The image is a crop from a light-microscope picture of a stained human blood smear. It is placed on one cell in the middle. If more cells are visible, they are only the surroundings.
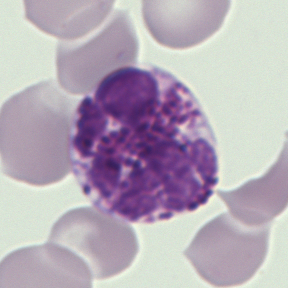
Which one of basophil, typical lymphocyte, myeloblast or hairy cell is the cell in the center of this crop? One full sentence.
Centrally within this crop lies a basophil.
